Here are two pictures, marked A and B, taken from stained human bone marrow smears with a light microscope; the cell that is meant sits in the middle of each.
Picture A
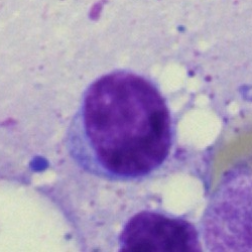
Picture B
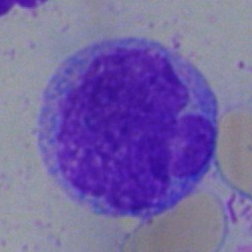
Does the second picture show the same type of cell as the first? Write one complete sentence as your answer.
No; the cell in picture A is a lymphocyte, while the one in picture B is a blast.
